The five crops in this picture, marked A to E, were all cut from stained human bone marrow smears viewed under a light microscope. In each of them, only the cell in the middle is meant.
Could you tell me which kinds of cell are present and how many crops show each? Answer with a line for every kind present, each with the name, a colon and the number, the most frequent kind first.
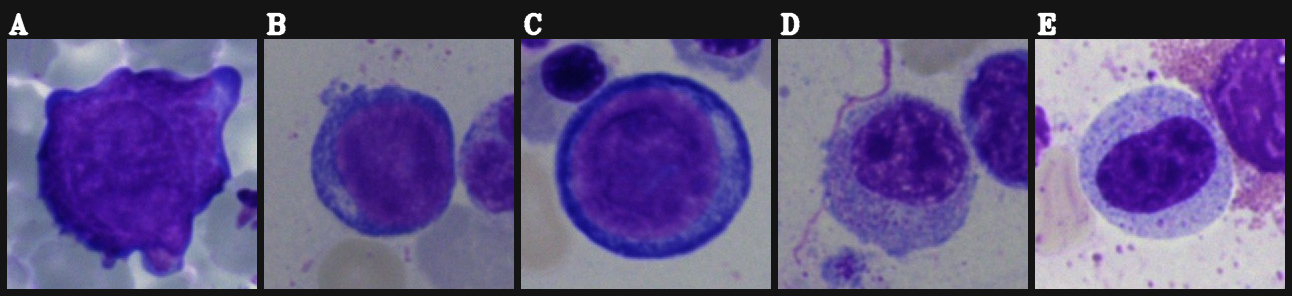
proerythroblast: 3
myelocyte: 2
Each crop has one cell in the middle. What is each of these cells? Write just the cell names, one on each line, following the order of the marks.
proerythroblast
proerythroblast
proerythroblast
myelocyte
myelocyte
